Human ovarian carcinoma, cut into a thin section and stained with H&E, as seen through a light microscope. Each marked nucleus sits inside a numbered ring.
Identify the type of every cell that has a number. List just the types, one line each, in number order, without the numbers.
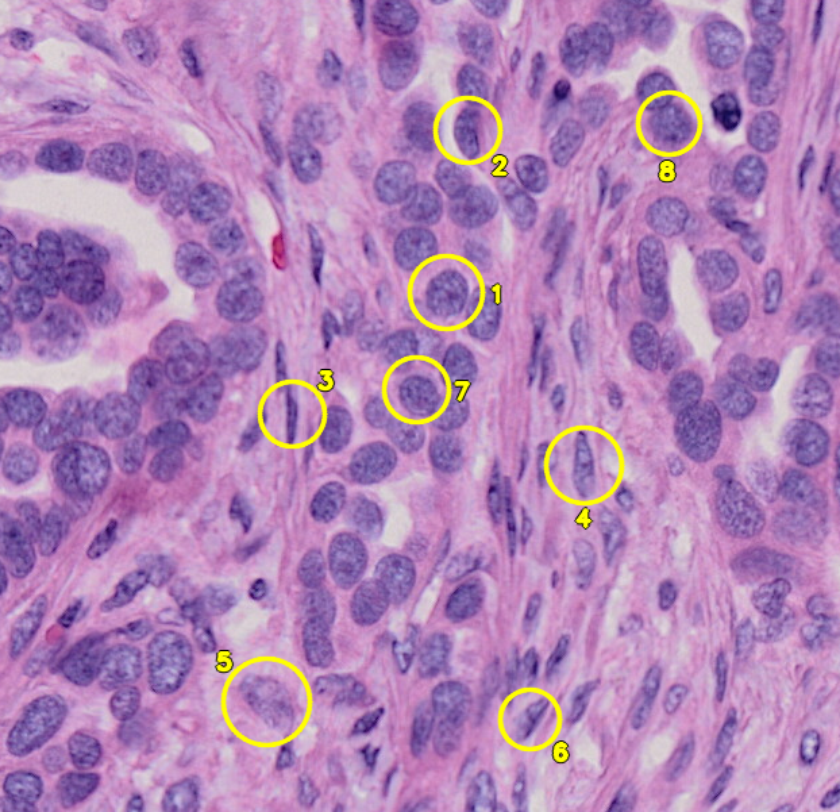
carcinoma cell
carcinoma cell
fibroblast
fibroblast
fibroblast
fibroblast
carcinoma cell
carcinoma cell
